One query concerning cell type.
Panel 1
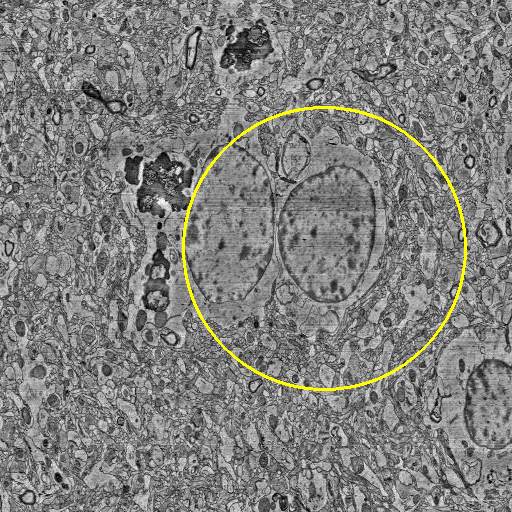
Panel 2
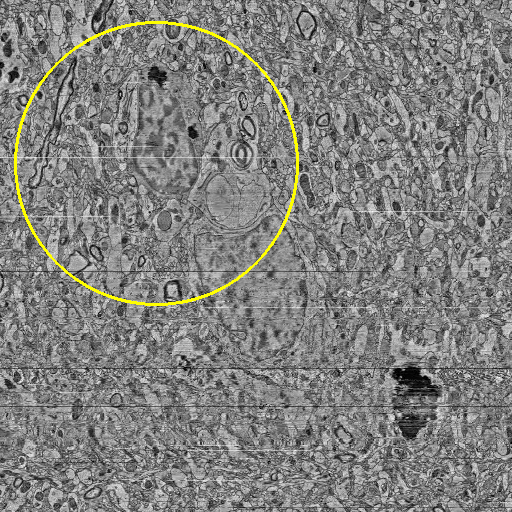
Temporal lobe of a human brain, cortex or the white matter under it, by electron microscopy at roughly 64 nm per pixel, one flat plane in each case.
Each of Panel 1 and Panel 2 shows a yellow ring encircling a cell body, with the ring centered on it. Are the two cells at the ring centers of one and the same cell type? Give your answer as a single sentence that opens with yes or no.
No, the cell centered in Panel 1 and the one in Panel 2 are of two types.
